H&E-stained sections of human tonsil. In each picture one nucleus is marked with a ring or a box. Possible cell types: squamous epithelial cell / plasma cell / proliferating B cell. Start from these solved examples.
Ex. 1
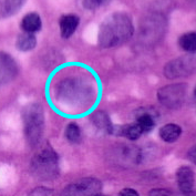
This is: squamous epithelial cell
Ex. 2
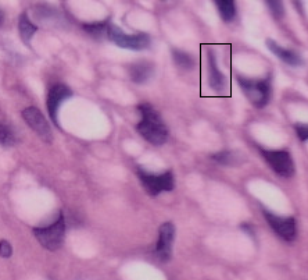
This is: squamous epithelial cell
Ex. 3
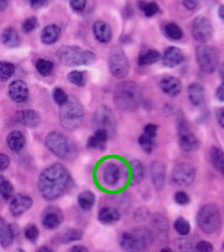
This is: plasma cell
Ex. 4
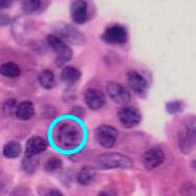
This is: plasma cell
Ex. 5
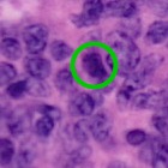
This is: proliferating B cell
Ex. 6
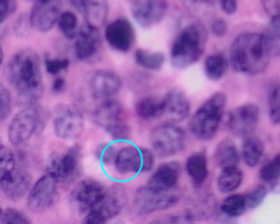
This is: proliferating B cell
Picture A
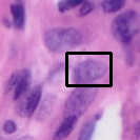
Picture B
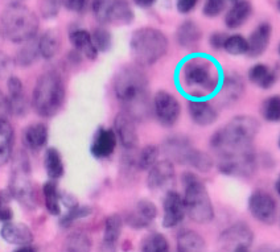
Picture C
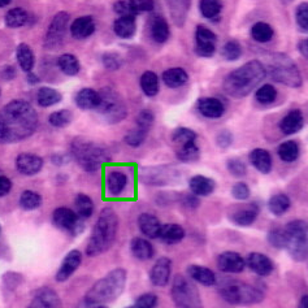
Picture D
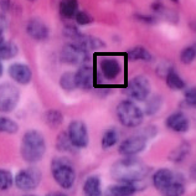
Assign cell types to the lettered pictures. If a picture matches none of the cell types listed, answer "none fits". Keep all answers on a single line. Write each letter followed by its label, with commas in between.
A none fits, B proliferating B cell, C plasma cell, D plasma cell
